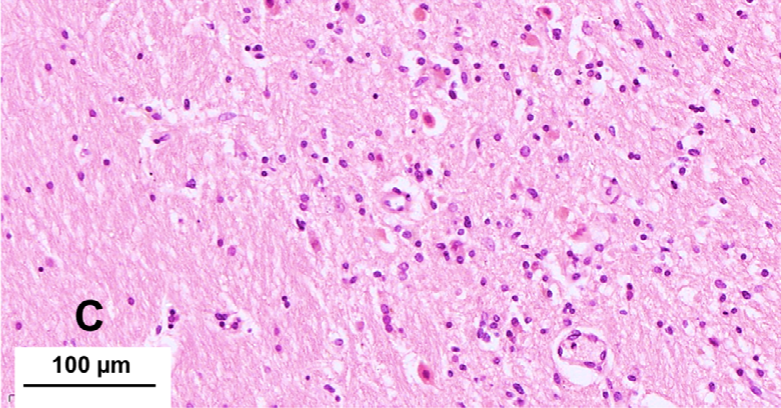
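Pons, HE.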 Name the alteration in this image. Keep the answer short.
Increased widespread cellularity.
